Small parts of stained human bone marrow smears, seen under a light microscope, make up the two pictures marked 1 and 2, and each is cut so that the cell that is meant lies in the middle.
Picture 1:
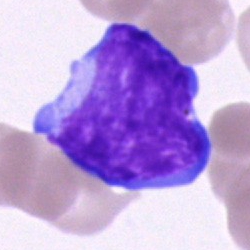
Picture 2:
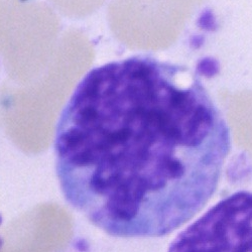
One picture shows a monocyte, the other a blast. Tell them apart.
1: blast
2: monocyte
